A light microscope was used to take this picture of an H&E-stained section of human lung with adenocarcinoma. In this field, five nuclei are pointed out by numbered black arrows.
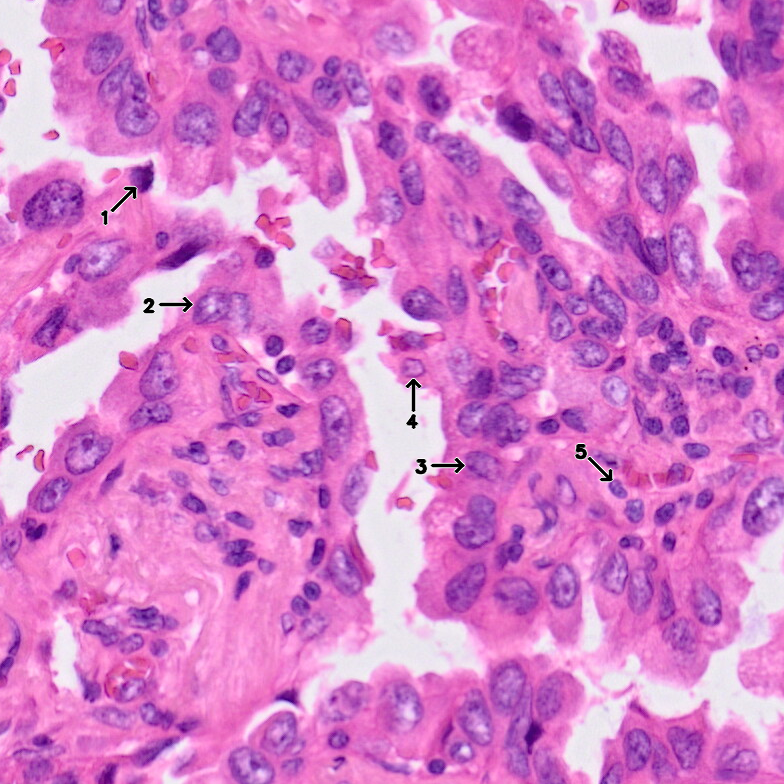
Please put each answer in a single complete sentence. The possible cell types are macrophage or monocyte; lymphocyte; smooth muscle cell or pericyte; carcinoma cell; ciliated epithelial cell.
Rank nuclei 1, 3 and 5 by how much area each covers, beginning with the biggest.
Going from the biggest nucleus down to the smallest gives 3, 1, 5.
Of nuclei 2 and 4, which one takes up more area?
At about 2 times the area of nucleus 4, nucleus 2 is the larger of the two.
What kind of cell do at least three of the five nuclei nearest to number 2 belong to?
Most of the five nuclei nearest to number 2 are those of carcinoma cells.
